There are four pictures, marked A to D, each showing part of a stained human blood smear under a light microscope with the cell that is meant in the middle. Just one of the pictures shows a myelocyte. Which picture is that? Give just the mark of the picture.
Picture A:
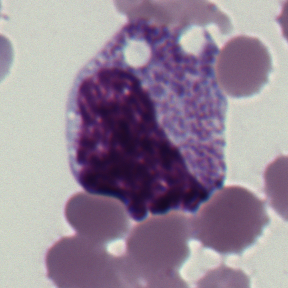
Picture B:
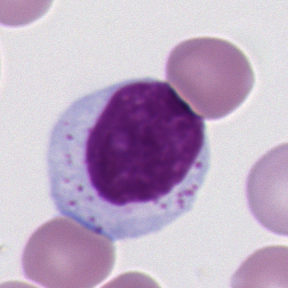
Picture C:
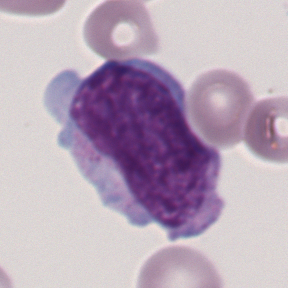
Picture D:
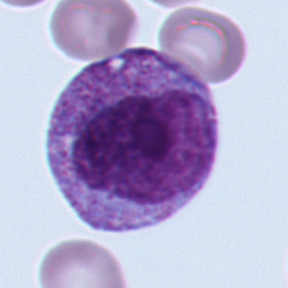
A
